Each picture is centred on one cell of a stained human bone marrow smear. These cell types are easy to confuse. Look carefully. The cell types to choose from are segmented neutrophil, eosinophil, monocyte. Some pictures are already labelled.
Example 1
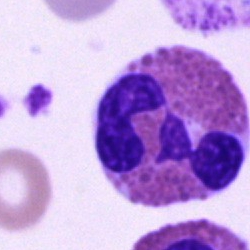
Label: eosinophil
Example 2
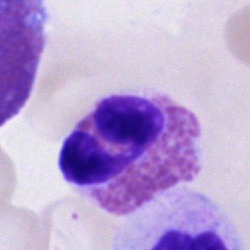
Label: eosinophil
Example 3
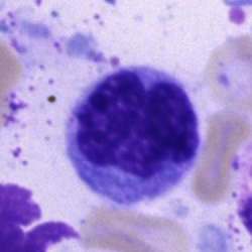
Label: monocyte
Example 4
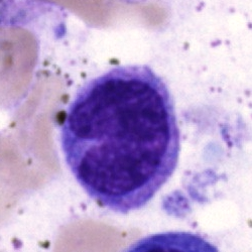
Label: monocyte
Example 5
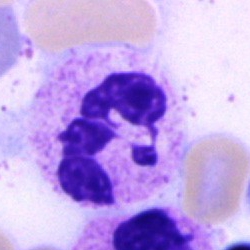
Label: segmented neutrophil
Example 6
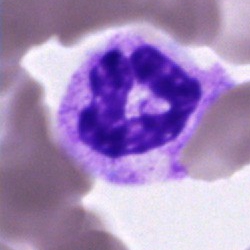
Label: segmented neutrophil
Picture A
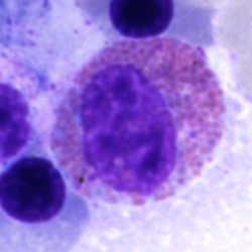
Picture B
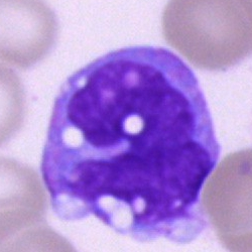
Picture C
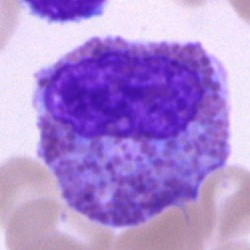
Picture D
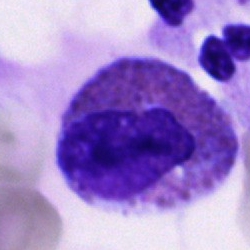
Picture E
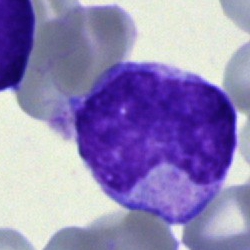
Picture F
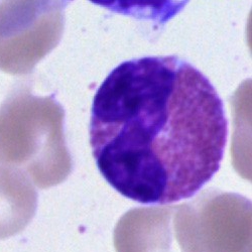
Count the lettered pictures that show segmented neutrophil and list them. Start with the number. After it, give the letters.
0, none of them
